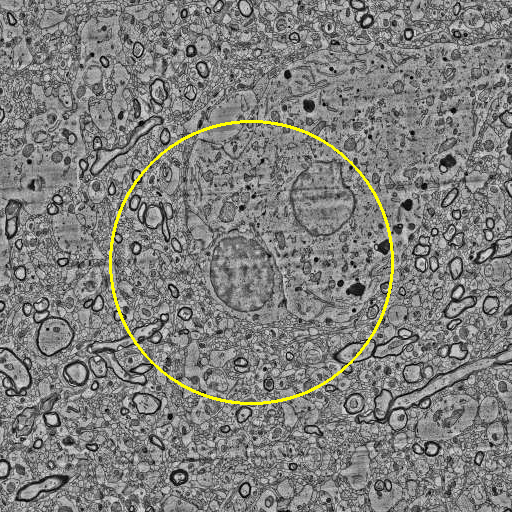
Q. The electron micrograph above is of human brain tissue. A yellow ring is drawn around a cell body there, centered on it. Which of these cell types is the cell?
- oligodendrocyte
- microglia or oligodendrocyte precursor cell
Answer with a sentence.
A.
The cell under the ring's center is an oligodendrocyte.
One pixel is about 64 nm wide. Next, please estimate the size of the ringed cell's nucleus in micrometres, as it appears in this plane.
Roughly 5 micrometres by 4 micrometres, in this plane.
